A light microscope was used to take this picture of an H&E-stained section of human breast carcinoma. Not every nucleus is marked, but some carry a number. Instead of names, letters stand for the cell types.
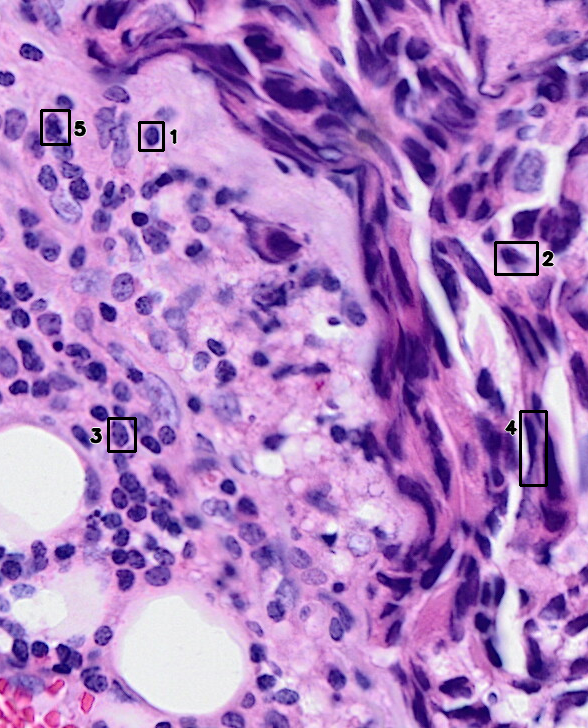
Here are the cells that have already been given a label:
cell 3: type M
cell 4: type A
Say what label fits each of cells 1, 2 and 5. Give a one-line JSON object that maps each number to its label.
{"1": "type M", "2": "type A", "5": "type M"}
